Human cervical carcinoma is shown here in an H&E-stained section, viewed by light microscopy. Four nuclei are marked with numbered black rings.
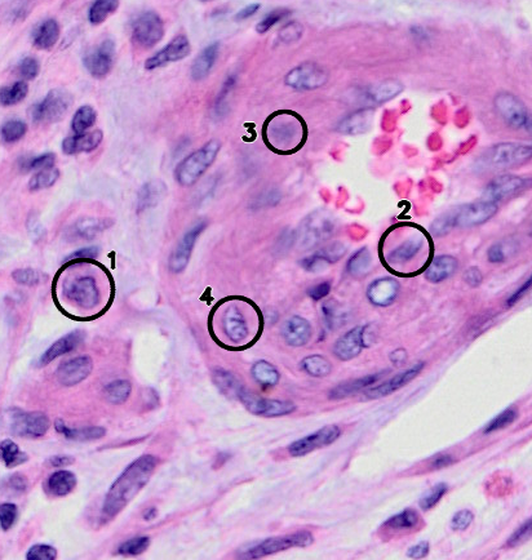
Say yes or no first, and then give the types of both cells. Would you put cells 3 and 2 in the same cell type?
No: cell 3 is a smooth muscle cell, while cell 2 is an endothelial cell.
